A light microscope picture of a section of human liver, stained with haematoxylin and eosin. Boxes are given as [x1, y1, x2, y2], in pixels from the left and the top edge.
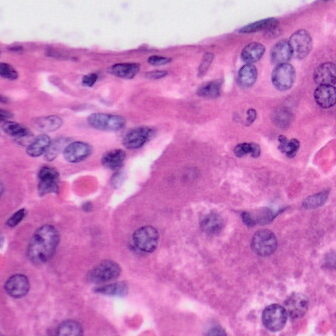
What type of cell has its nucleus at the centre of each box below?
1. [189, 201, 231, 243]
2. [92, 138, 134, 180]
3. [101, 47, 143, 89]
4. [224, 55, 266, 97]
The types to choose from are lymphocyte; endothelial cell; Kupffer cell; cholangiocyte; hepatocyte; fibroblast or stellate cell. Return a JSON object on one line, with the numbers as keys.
{"1": "hepatocyte", "2": "fibroblast or stellate cell", "3": "fibroblast or stellate cell", "4": "cholangiocyte"}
